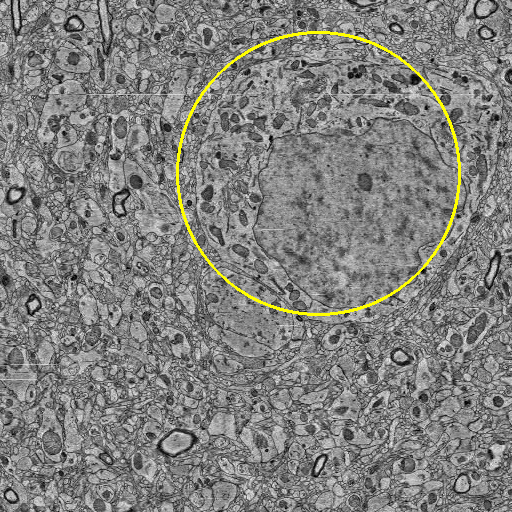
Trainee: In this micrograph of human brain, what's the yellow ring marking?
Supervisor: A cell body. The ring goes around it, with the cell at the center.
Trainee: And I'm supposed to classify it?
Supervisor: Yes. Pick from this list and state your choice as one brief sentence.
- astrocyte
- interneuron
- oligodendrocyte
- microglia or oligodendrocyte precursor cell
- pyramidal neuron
The cell at the ring's center is an interneuron.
